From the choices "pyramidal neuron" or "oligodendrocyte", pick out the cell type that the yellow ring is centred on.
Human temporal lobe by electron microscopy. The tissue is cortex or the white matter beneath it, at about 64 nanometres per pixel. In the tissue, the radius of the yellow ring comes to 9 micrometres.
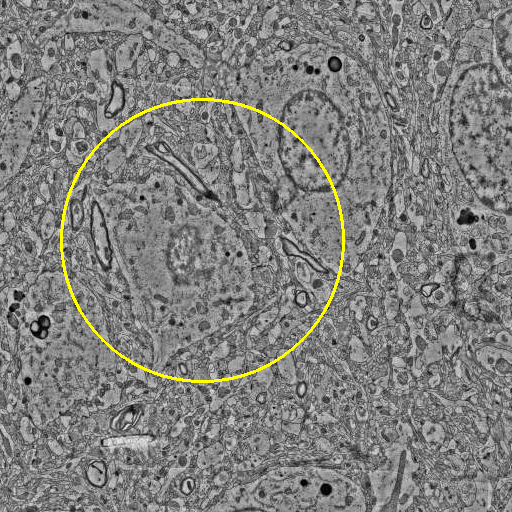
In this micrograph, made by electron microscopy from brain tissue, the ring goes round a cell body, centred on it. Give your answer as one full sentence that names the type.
The yellow ring is centred on a pyramidal neuron, whose cell body it encircles in the picture.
